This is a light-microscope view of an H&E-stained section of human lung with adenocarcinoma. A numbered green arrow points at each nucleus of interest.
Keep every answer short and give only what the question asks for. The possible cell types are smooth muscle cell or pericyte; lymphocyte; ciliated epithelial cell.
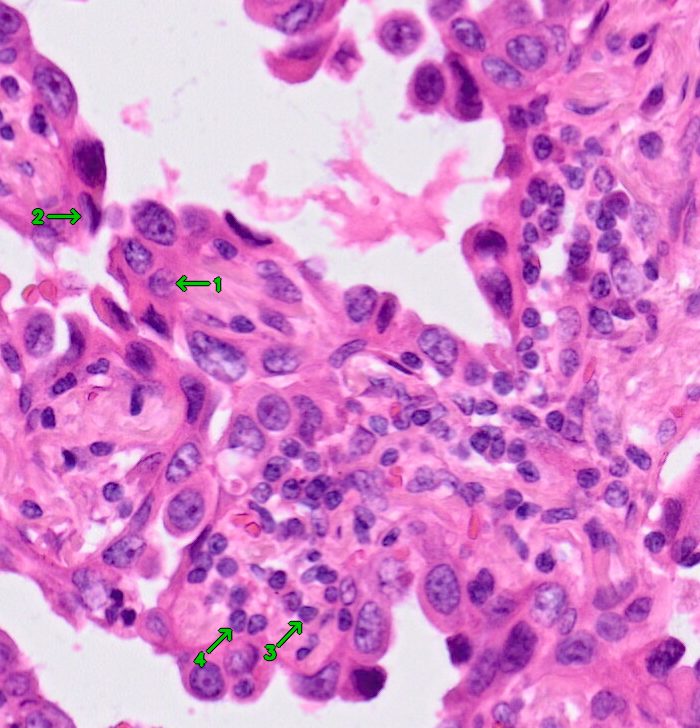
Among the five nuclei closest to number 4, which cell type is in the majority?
lymphocyte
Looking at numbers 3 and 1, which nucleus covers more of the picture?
1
